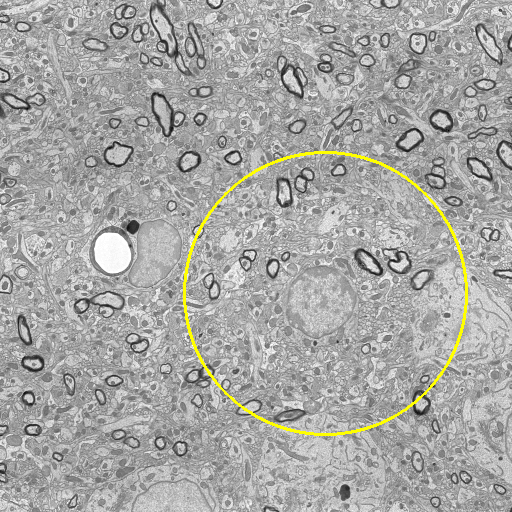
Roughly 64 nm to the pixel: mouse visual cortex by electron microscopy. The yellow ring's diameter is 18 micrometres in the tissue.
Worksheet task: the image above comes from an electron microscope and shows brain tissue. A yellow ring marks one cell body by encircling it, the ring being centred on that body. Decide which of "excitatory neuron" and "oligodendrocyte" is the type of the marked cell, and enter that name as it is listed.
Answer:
oligodendrocyte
